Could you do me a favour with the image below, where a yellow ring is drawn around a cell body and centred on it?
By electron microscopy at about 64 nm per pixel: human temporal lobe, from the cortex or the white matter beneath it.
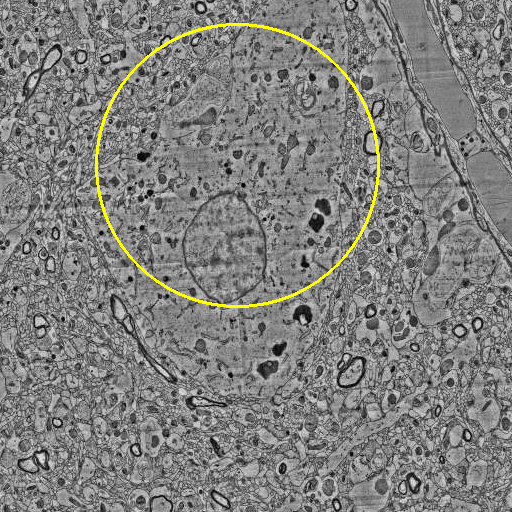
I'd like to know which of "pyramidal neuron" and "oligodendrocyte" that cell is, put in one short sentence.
The cell at the ring's centre is an oligodendrocyte.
